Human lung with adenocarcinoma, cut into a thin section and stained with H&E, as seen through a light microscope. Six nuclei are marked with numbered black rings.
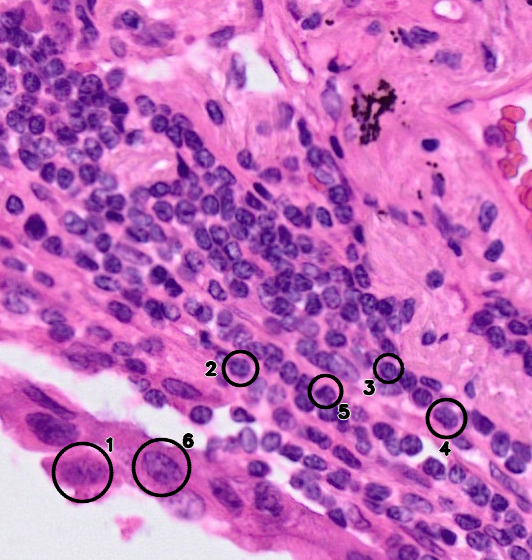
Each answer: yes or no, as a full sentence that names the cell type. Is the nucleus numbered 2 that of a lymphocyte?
Yes, the cell identified as number 2 is a lymphocyte.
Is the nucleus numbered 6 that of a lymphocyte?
No, cell 6 is not a lymphocyte at all but a carcinoma cell.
